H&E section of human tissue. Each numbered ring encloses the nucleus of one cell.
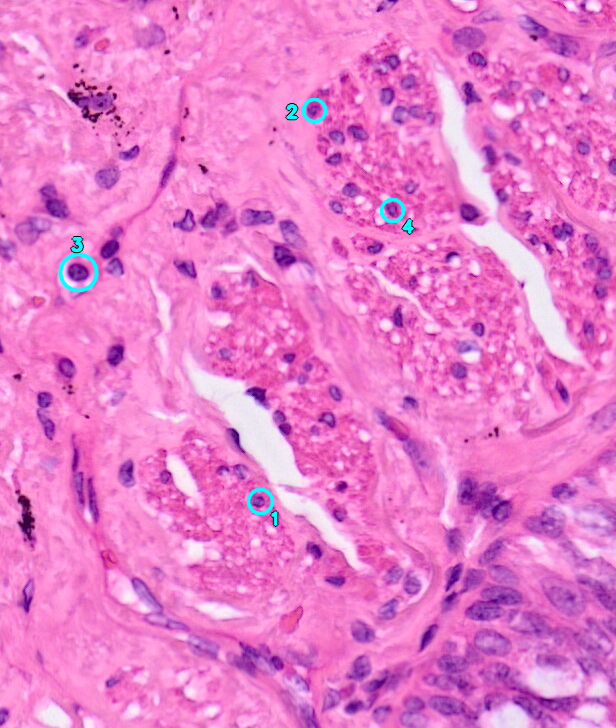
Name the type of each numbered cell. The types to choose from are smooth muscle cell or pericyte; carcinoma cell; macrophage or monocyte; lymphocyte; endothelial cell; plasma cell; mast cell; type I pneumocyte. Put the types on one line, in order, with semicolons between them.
smooth muscle cell or pericyte; smooth muscle cell or pericyte; lymphocyte; smooth muscle cell or pericyte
